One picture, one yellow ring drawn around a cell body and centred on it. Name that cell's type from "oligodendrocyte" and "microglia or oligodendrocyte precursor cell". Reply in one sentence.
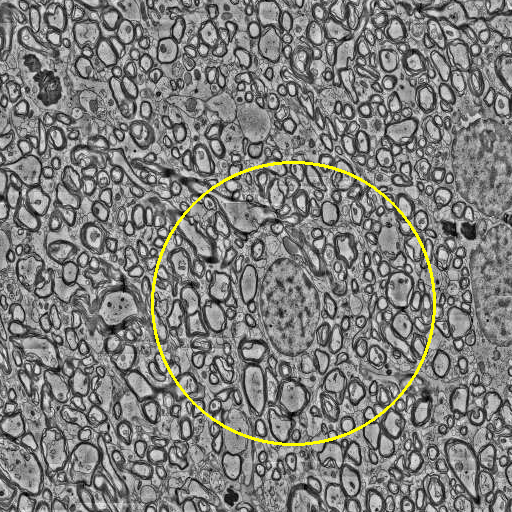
Centred in the ring is a microglial cell or oligodendrocyte precursor cell.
